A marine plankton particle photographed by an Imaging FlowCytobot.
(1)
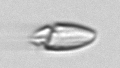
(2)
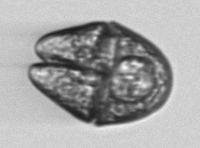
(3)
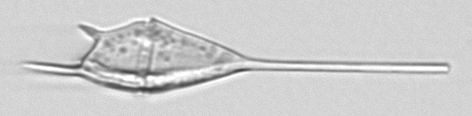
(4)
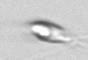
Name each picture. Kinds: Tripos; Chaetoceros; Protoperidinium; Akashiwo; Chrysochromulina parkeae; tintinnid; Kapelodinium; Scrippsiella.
(1) Kapelodinium
(2) Akashiwo
(3) Tripos
(4) Chrysochromulina parkeae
